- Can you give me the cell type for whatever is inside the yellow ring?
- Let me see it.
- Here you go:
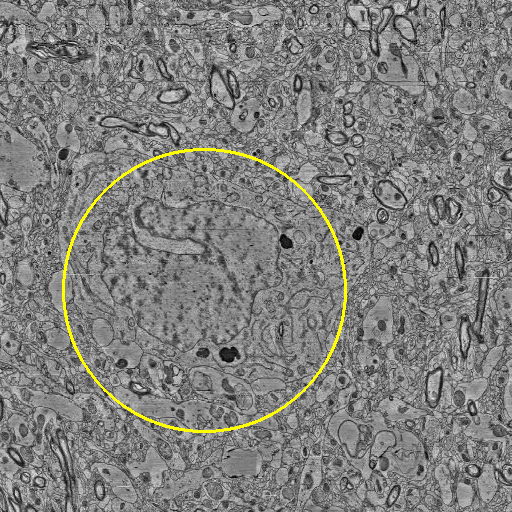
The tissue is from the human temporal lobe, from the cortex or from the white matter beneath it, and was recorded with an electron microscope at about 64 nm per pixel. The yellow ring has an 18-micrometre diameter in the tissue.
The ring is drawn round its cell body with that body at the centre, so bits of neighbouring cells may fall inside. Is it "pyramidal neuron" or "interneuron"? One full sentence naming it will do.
The cell body in the middle of the ring in this picture belongs to an interneuron.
